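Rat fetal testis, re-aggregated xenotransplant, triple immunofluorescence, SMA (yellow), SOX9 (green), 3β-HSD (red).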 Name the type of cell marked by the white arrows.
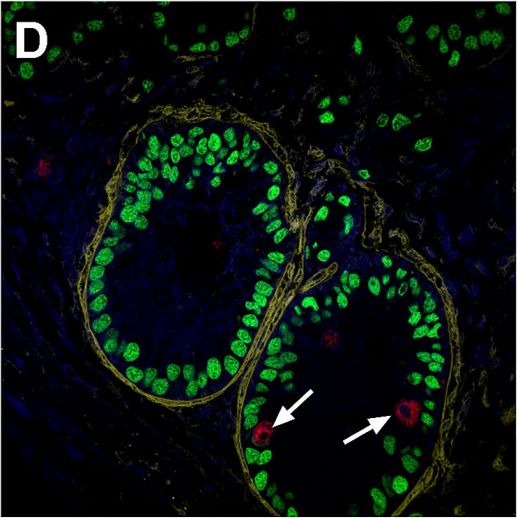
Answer: Intratubular Leydig cells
